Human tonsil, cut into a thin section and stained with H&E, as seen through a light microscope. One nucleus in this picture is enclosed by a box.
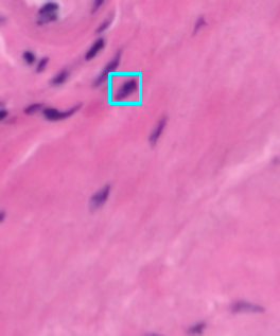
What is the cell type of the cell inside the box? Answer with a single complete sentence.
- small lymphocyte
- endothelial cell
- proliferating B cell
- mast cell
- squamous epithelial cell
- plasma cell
It is as a mast cell that the cell inside the box is recorded.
